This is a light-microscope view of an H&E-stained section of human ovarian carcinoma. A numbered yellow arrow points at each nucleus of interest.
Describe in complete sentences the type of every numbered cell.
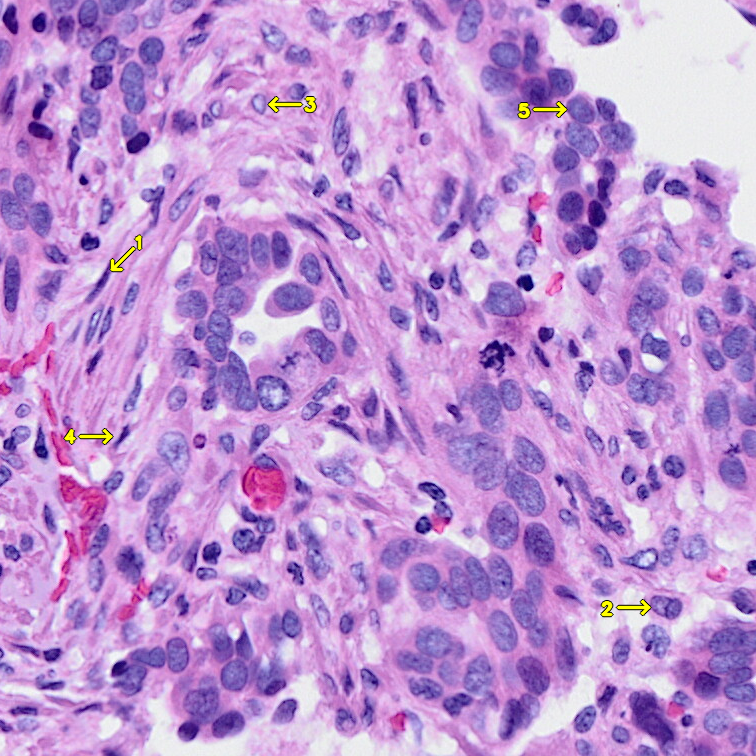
Cell 1 is a fibroblast, cell 2 is a macrophage or monocyte, cell 3 is a fibroblast, cell 4 is a fibroblast and cell 5 is a carcinoma cell.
